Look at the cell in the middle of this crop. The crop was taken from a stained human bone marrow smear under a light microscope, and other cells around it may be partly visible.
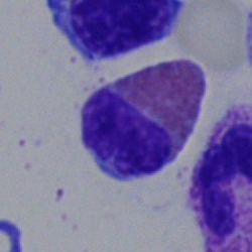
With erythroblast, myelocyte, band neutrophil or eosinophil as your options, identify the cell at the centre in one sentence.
At the middle of the frame sits an eosinophil.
